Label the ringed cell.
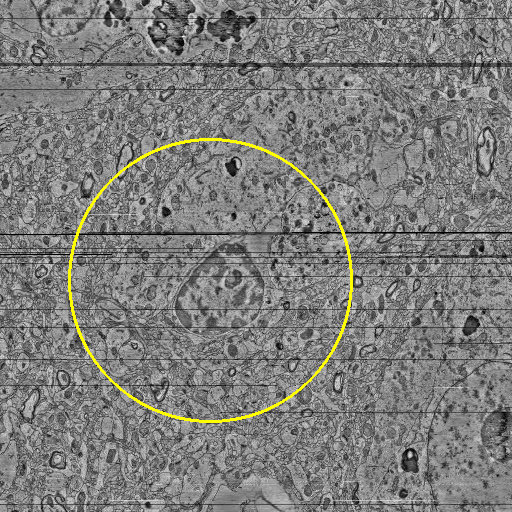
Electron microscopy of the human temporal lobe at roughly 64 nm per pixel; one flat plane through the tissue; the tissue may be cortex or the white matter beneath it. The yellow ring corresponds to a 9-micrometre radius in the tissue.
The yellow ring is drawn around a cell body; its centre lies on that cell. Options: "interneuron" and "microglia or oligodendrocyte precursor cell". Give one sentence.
The ringed cell is a microglial cell or oligodendrocyte precursor cell.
